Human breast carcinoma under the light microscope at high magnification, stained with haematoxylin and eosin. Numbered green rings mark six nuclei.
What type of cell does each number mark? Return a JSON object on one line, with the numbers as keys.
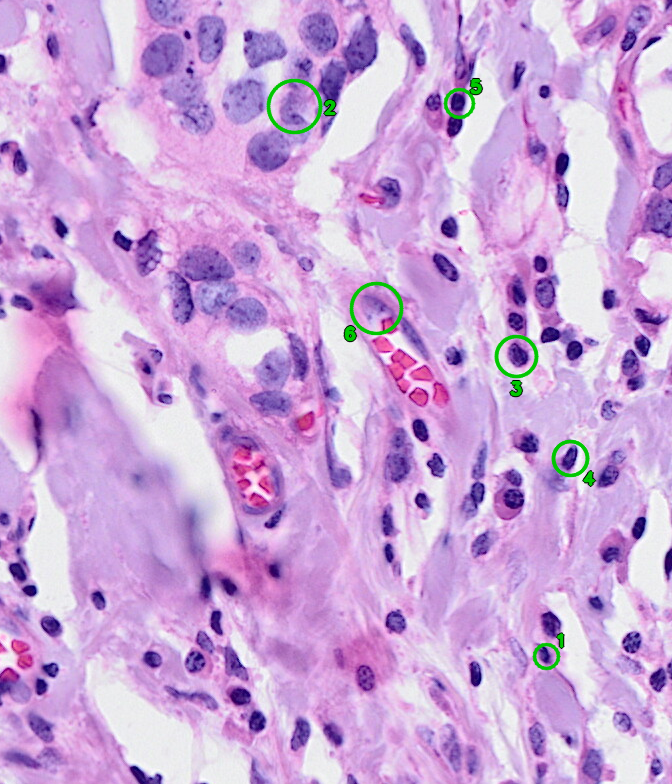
{"1": "lymphocyte", "2": "carcinoma cell", "3": "lymphocyte", "4": "lymphocyte", "5": "lymphocyte", "6": "endothelial cell"}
